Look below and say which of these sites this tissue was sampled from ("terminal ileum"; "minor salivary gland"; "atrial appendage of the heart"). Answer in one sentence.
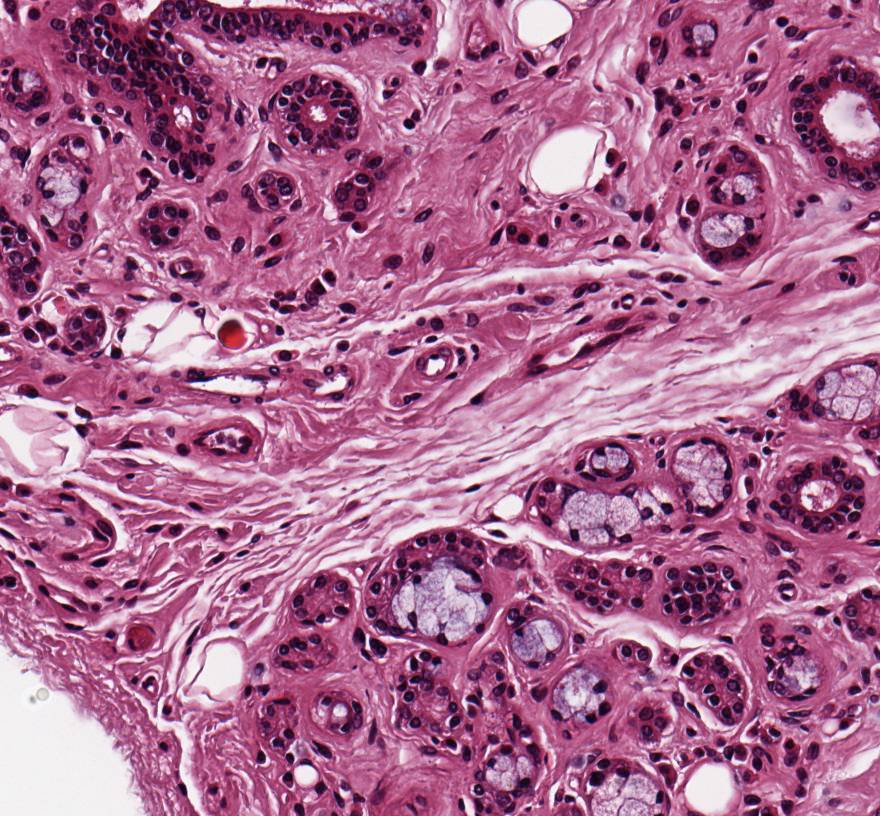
The site this tissue was sampled from is the minor salivary gland.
